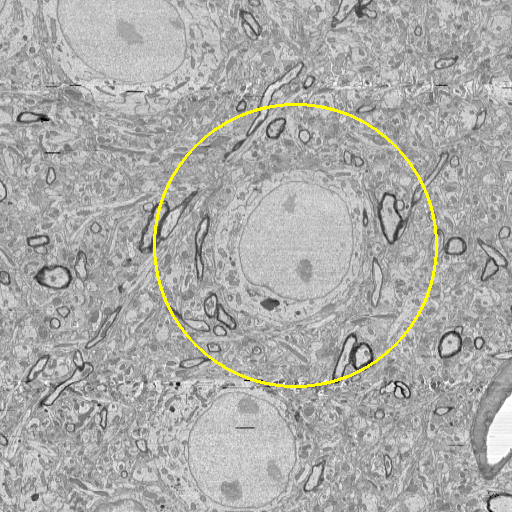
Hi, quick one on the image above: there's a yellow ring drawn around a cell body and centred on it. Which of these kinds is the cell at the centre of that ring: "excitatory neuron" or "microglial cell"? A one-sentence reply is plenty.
The cell at the centre of the ring is an excitatory neuron.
